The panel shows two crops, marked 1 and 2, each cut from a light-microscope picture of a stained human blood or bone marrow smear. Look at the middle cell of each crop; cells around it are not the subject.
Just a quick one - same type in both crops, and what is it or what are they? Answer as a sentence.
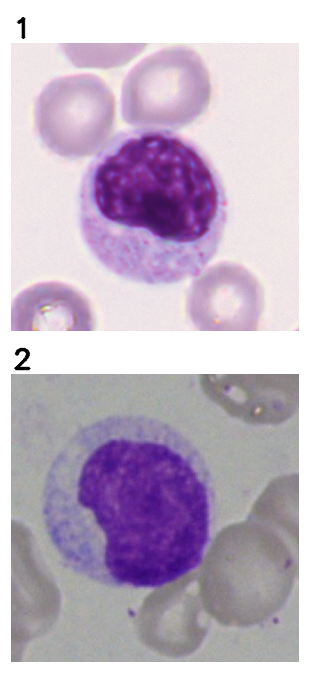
Yes, the two crops are alike in showing metamyelocytes.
